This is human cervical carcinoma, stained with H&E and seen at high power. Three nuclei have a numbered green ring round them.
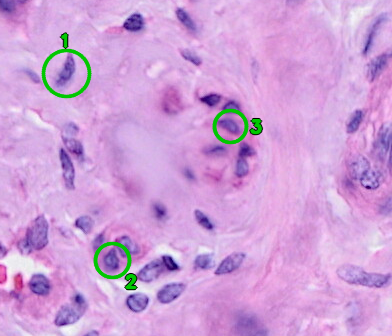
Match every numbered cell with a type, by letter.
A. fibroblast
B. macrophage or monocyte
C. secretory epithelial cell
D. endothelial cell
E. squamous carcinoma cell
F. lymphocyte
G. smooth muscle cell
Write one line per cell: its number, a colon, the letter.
1: A
2: D
3: G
